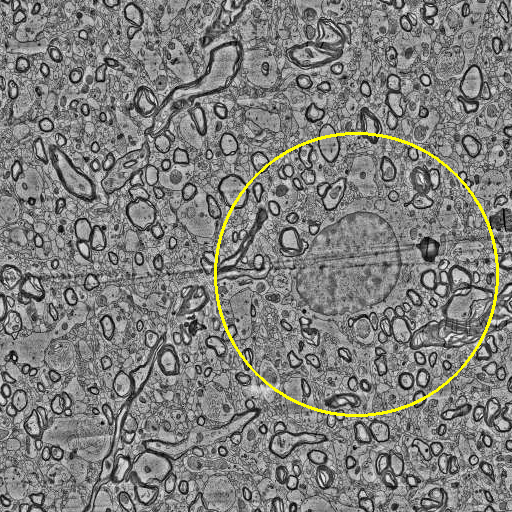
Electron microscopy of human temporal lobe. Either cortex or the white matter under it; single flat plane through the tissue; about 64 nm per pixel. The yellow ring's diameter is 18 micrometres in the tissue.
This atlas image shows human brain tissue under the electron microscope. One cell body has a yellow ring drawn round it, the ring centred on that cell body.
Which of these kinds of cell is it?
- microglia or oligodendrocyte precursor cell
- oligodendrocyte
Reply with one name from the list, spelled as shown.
oligodendrocyte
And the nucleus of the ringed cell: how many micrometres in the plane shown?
The ringed cell's nucleus is about 7 micrometres long and 6 micrometres wide in this plane.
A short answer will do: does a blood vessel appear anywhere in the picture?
No, the image shows no blood vessel.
